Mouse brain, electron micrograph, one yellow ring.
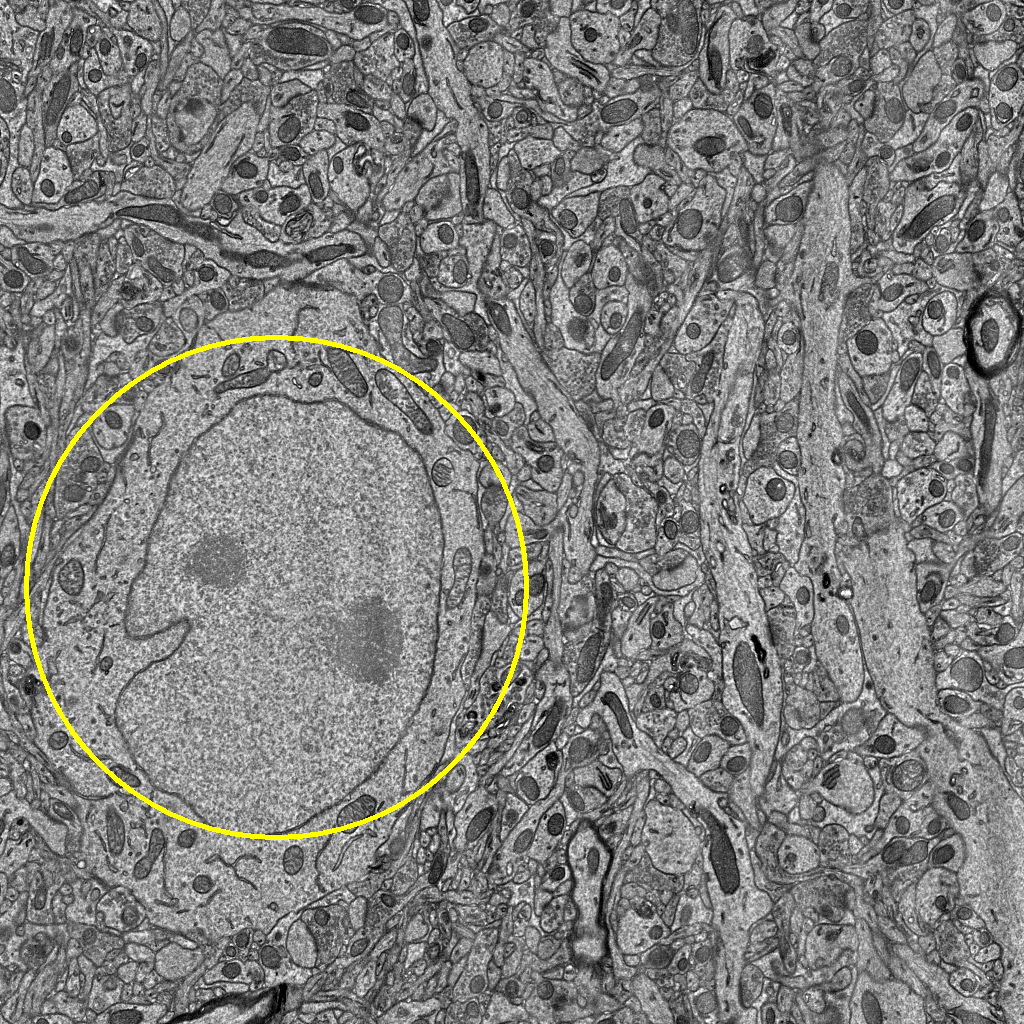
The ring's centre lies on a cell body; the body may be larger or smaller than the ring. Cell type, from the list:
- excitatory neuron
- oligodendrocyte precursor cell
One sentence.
The yellow ring's centre lies on an excitatory neuron.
